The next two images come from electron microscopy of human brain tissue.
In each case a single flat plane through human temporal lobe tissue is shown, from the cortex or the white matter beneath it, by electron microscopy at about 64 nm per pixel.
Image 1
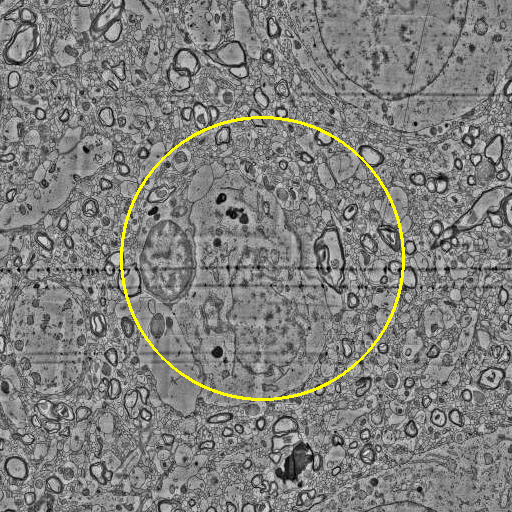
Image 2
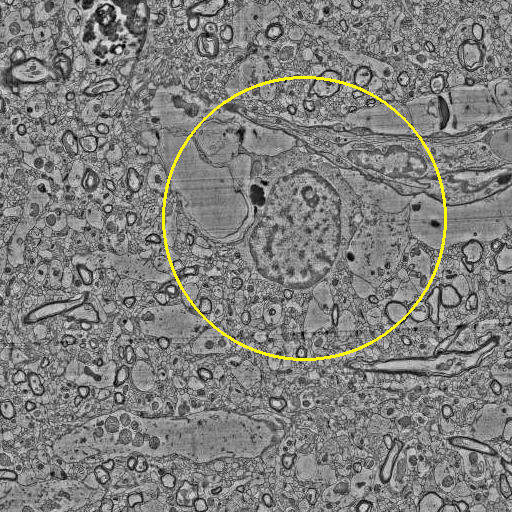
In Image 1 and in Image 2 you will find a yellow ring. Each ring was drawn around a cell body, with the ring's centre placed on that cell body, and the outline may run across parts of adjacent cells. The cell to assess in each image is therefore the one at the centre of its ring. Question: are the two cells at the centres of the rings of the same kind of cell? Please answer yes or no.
yes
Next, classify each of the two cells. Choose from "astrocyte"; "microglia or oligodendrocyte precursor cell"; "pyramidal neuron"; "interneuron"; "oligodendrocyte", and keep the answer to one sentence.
In each picture the ringed cell is an oligodendrocyte.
